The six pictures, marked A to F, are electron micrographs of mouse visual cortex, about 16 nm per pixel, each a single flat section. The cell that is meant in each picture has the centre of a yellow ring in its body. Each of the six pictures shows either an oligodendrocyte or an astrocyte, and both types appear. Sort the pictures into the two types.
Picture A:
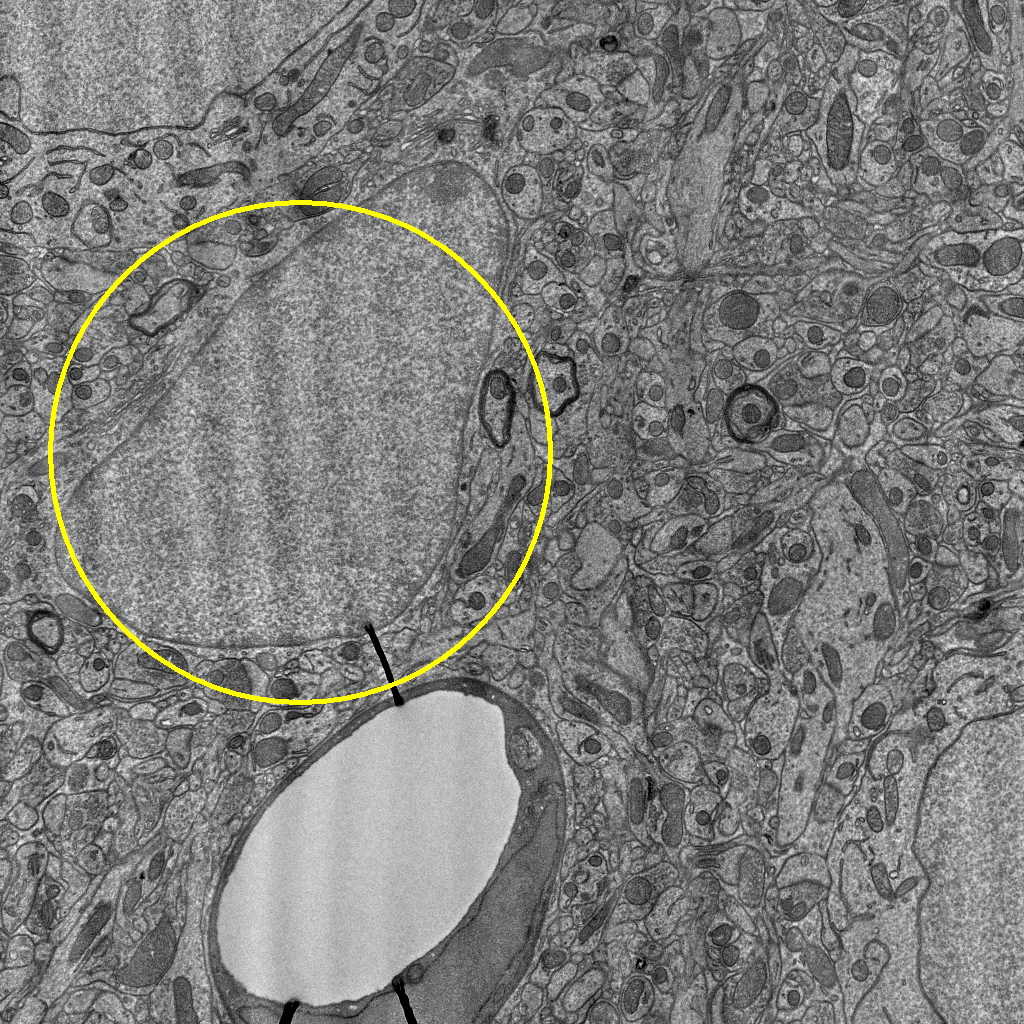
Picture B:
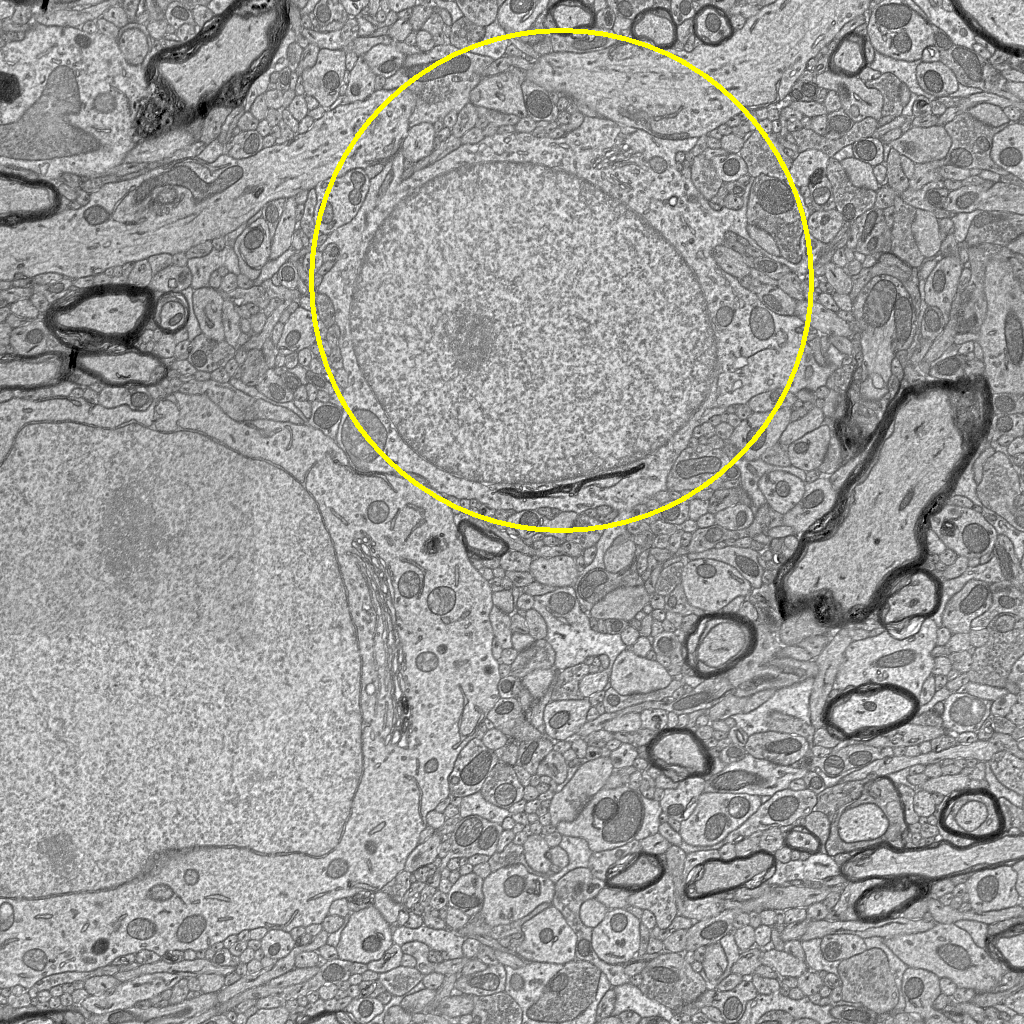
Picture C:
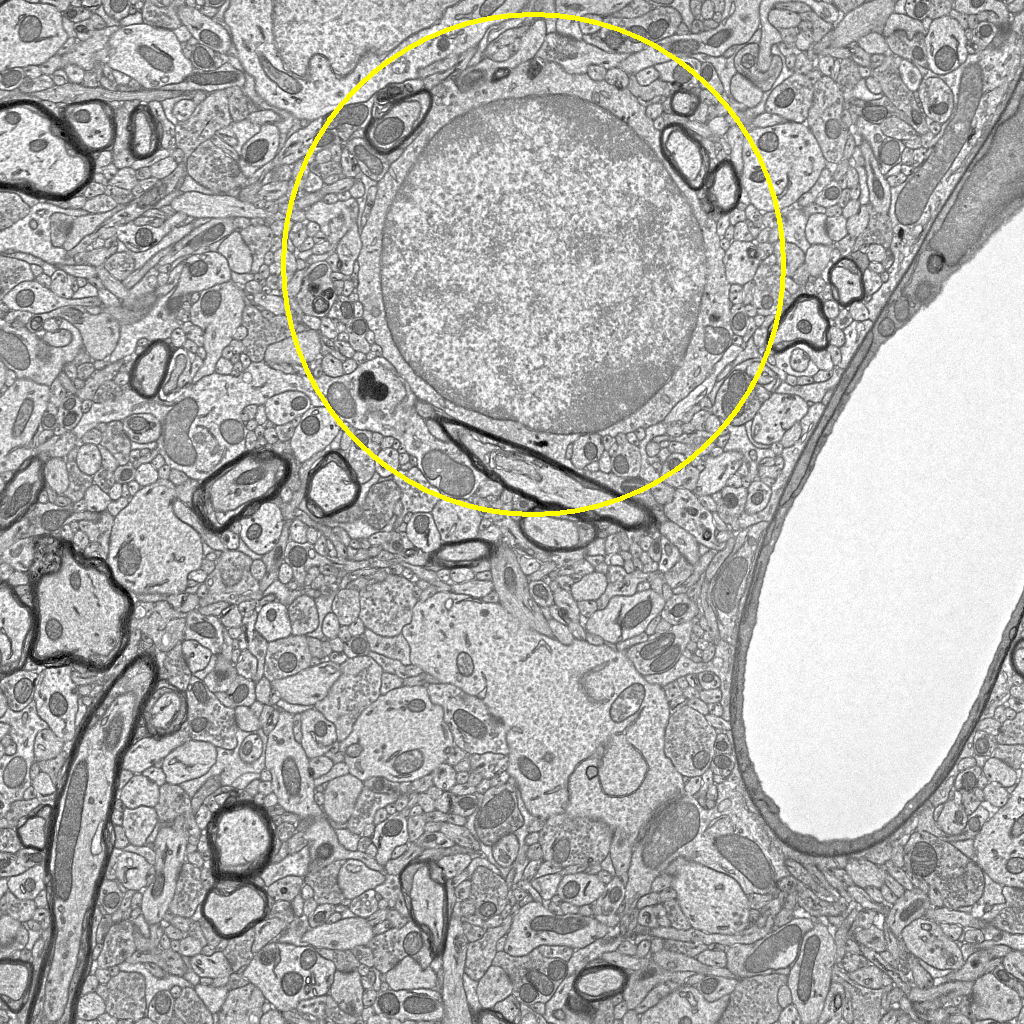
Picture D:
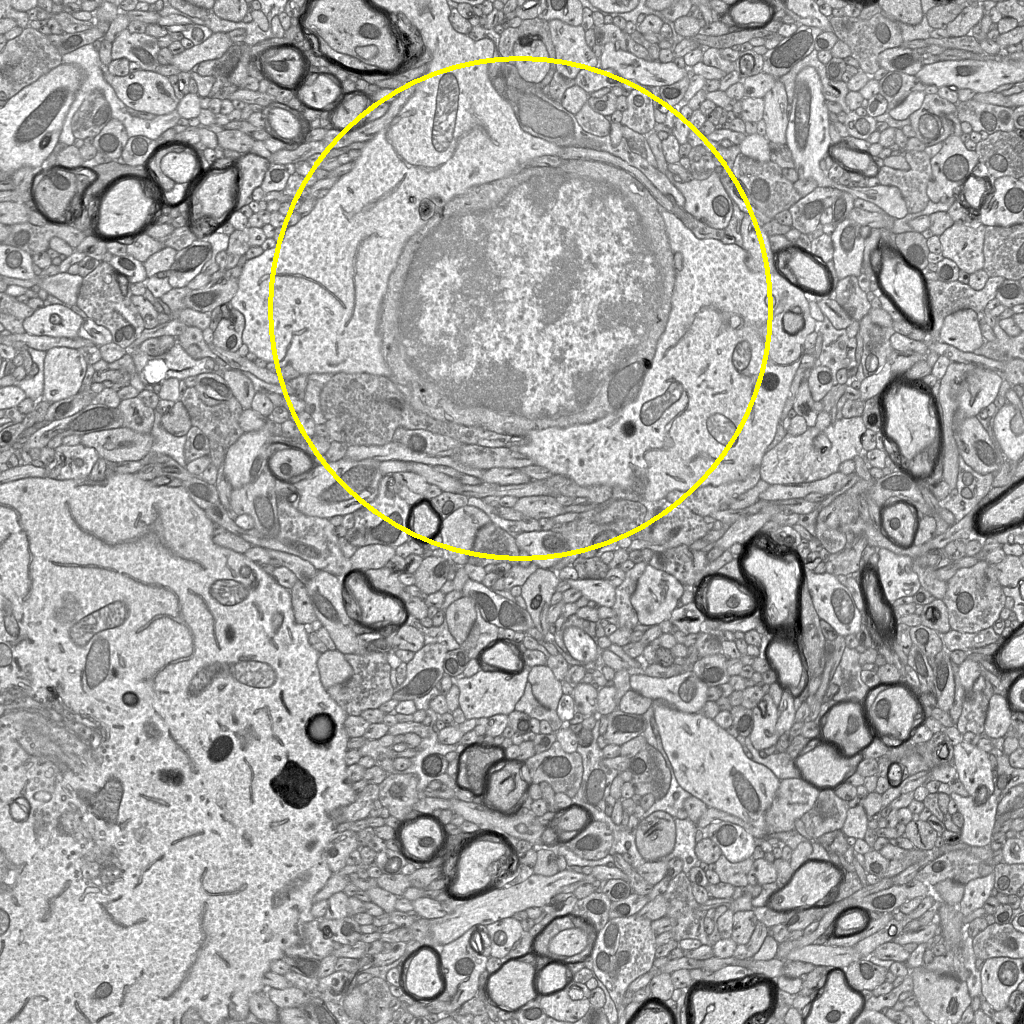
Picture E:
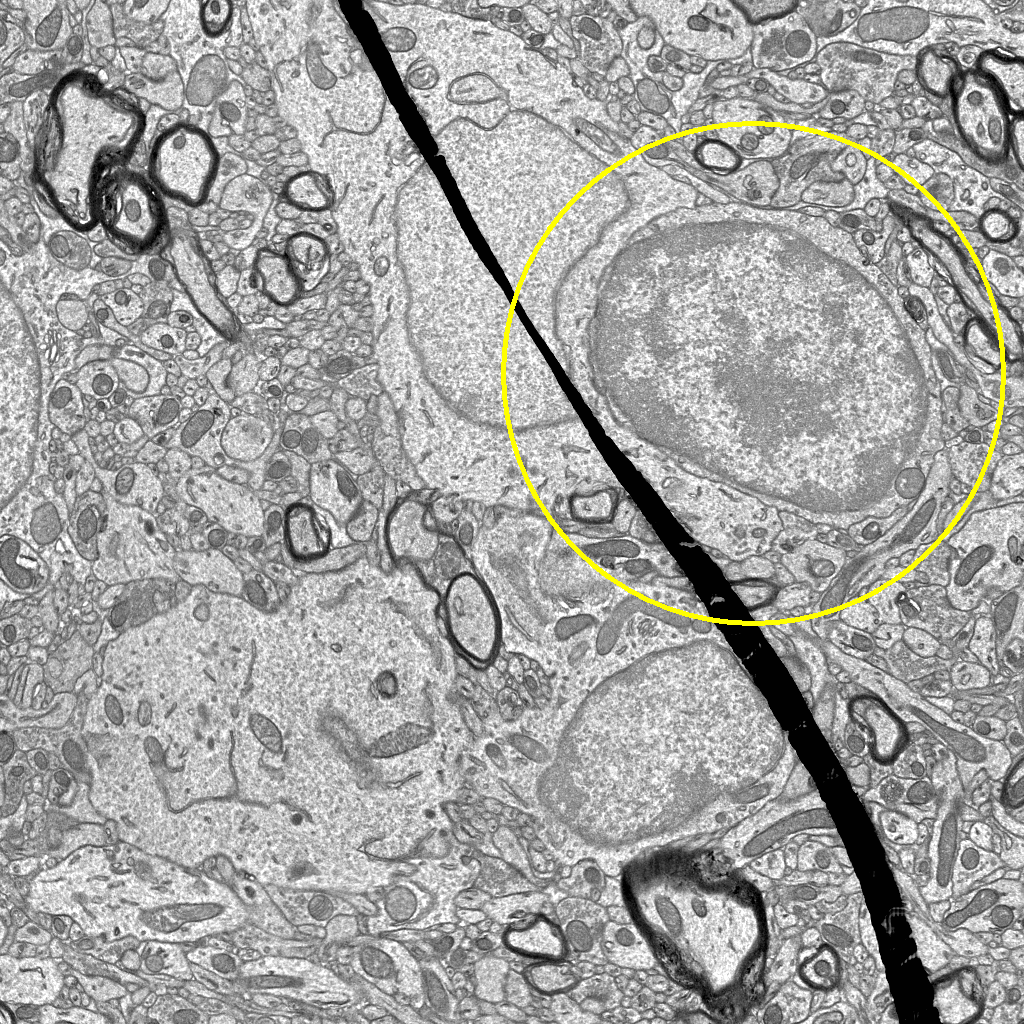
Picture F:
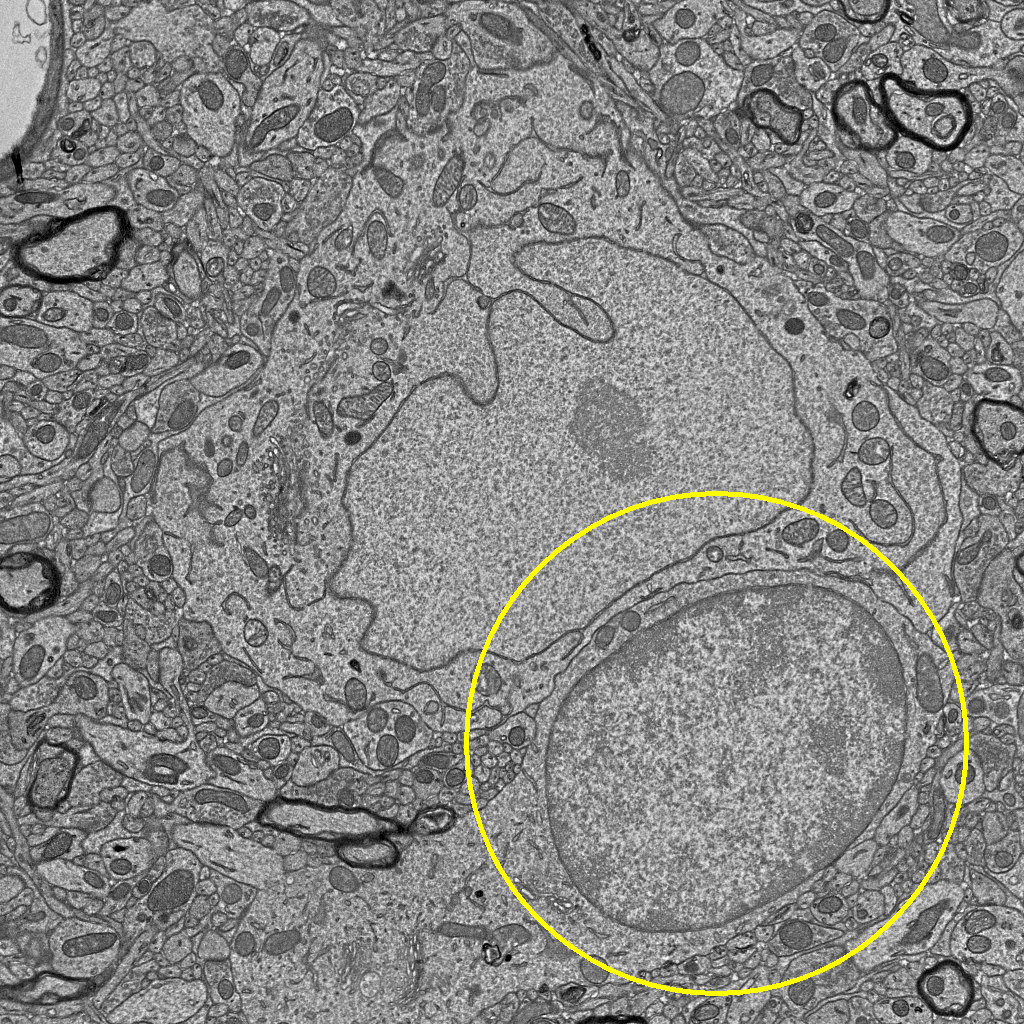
Pictures C, D, E and F show oligodendrocytes, and pictures A and B show astrocytes.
